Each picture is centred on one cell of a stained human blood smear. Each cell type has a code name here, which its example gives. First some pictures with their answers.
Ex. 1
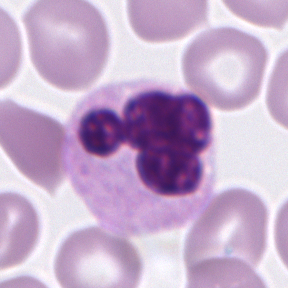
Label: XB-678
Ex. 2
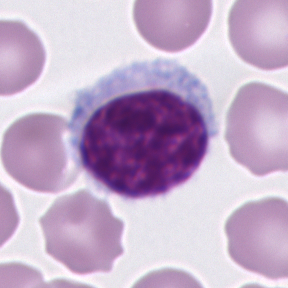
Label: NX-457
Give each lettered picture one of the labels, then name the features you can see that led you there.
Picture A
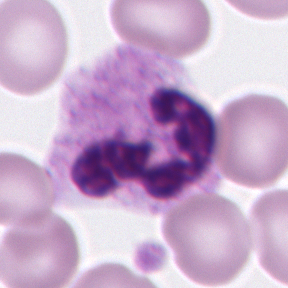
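Label: XB-678. The cytoplasm is abundant and pale pinkish-lilac.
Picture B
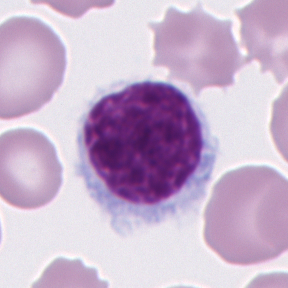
Label: NX-457. The cytoplasm forms a narrow rim that is widest below the nucleus.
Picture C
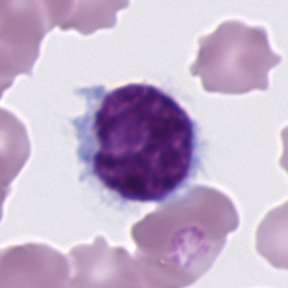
Label: NX-457. The cytoplasm is scant and pale blue.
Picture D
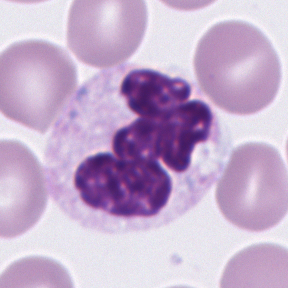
Label: XB-678. The nucleus is divided into several connected lobes.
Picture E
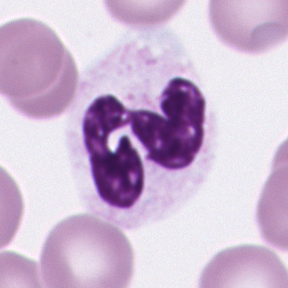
Label: XB-678. The nucleus is divided into separate lobes joined by narrow links.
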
